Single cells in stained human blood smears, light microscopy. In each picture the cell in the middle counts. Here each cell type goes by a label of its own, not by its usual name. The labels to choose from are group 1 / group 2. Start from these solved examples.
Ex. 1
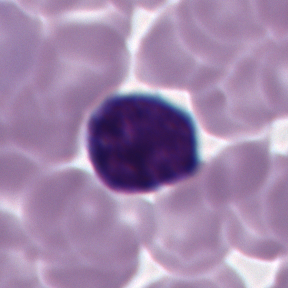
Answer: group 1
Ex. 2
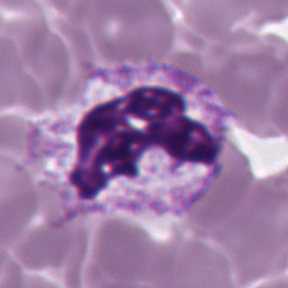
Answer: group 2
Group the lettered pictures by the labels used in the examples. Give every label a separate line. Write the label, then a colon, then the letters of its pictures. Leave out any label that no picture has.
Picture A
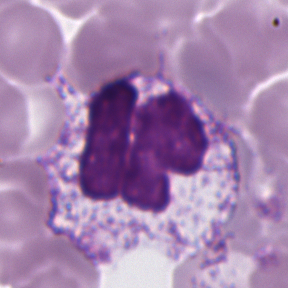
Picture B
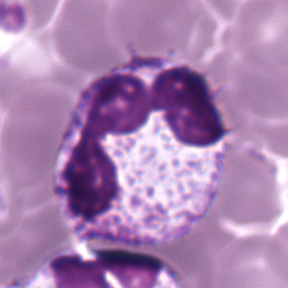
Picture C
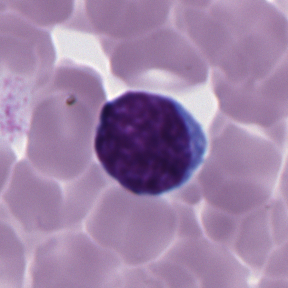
group 1: C
group 2: A, B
